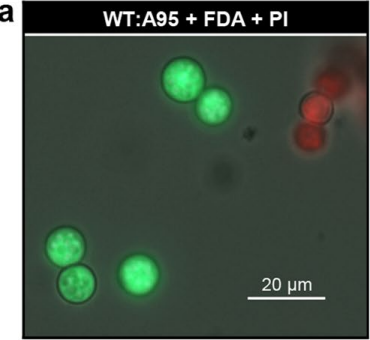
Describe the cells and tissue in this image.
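Most cells are intact spheres filled with green fluorescence and a granular interior, lying singly or in pairs. A small cluster of cells at the upper right is stained red instead and is partly out of focus.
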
